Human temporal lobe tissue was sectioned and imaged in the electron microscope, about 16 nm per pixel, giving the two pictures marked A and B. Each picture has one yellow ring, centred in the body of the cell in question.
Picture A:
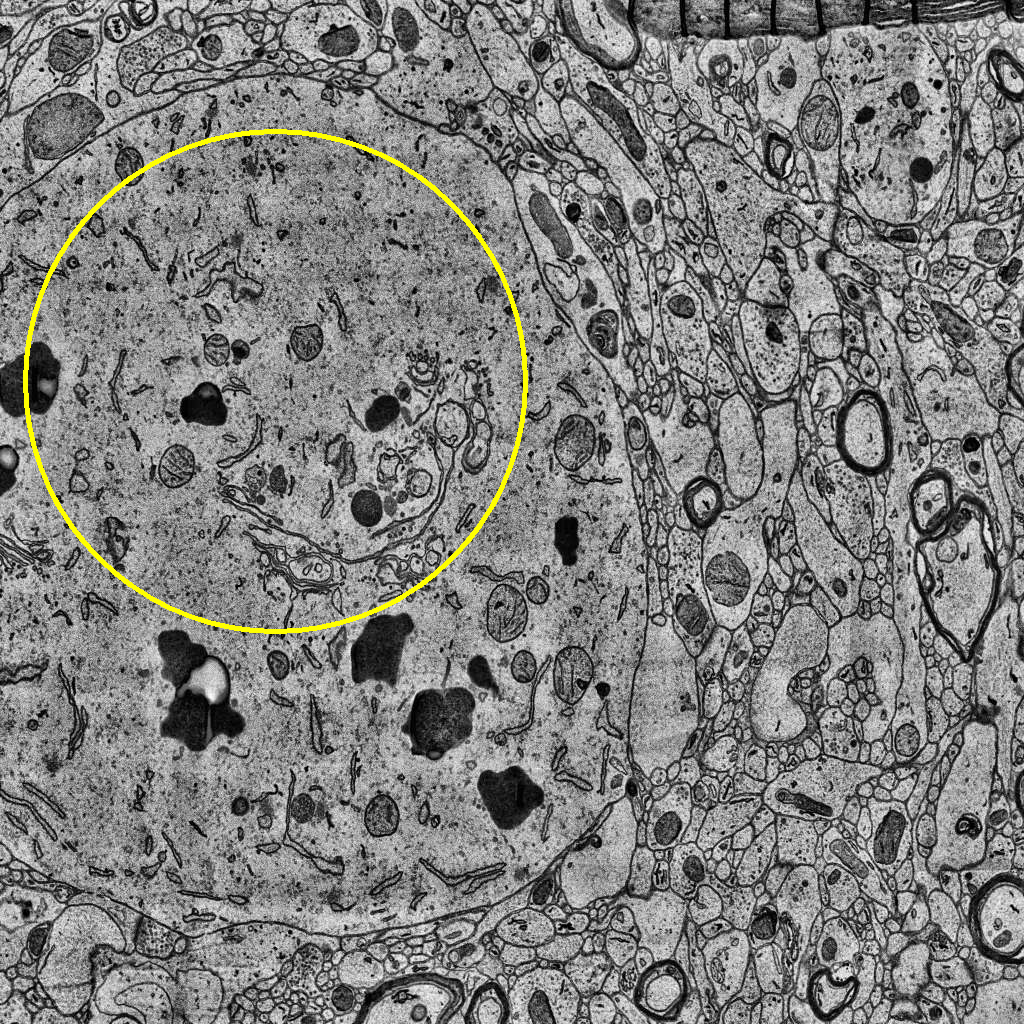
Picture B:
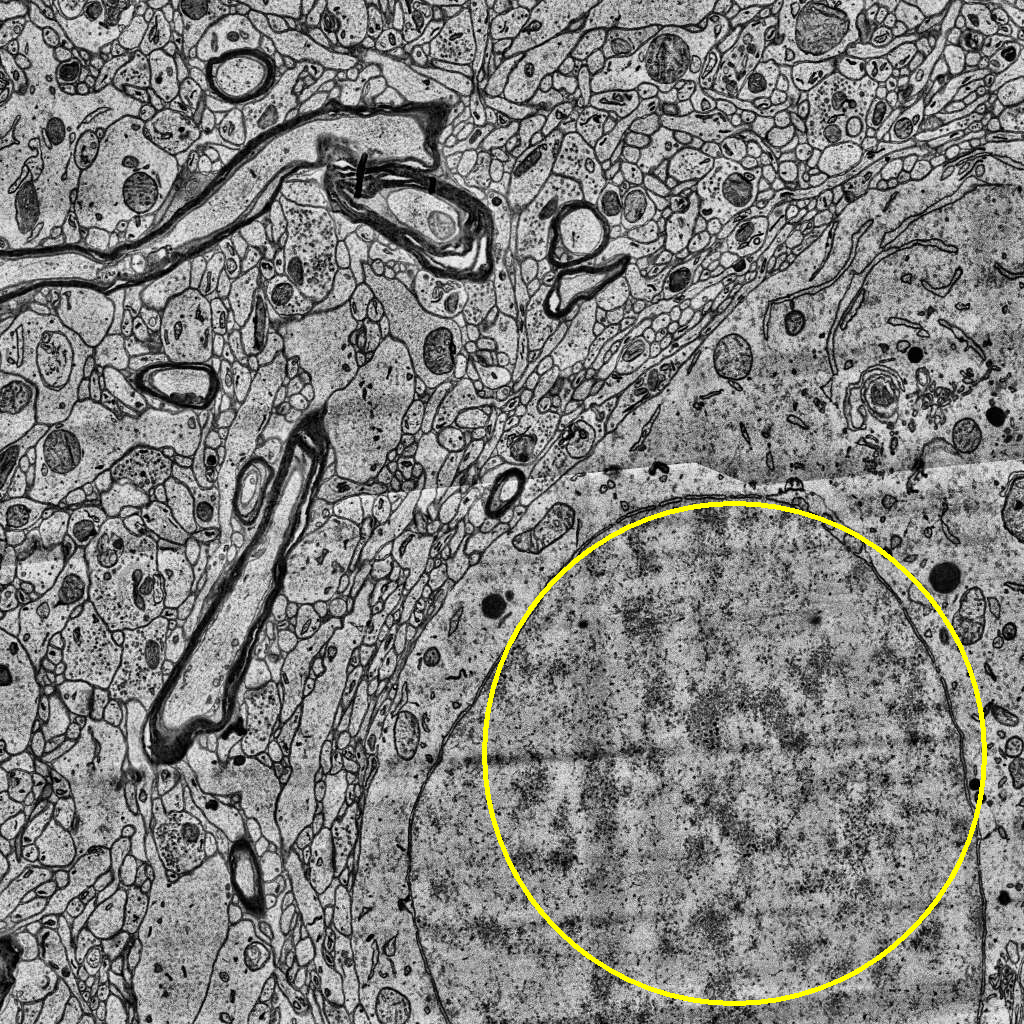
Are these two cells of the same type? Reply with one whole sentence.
Yes, both cells are pyramidal neurons.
